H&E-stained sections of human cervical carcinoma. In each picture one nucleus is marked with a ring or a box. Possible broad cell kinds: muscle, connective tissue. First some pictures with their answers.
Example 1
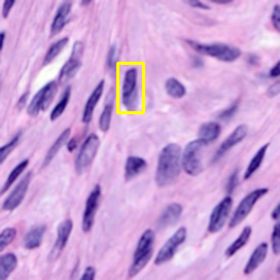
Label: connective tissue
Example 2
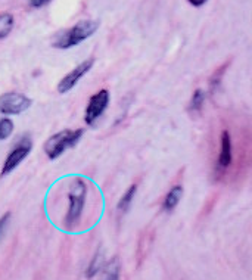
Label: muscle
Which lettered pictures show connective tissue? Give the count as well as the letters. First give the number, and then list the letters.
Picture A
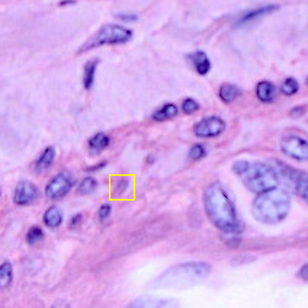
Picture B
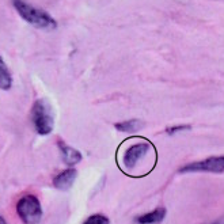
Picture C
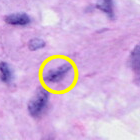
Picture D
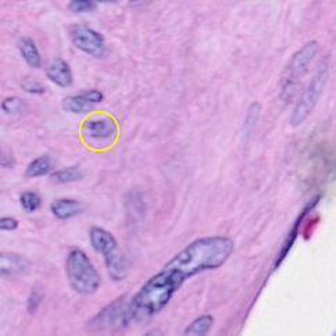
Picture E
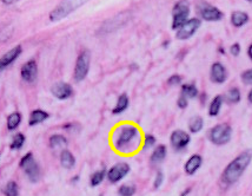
Count: 2 (B, C)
